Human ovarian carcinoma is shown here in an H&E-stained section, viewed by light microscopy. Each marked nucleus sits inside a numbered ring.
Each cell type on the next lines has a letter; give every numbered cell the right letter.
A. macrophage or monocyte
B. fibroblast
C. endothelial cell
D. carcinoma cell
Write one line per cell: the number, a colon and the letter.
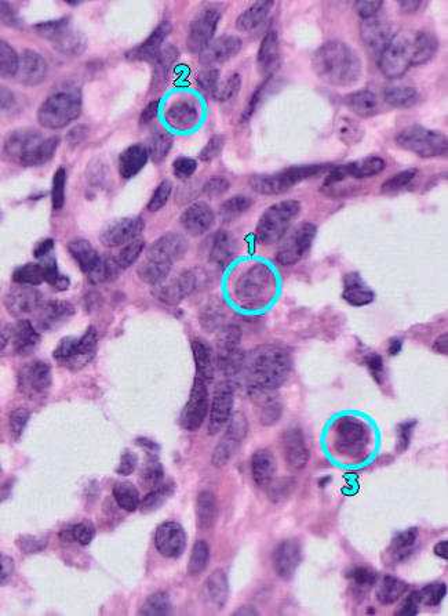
1: D
2: A
3: D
